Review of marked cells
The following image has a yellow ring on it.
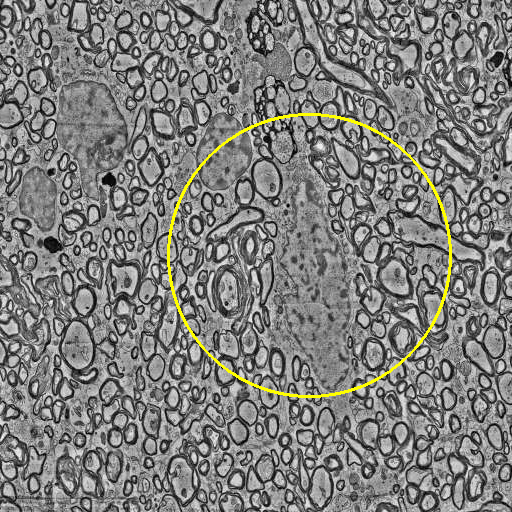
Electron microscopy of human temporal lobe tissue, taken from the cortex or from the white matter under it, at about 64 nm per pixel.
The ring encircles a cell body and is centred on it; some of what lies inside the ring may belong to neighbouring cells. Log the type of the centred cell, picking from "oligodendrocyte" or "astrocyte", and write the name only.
astrocyte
